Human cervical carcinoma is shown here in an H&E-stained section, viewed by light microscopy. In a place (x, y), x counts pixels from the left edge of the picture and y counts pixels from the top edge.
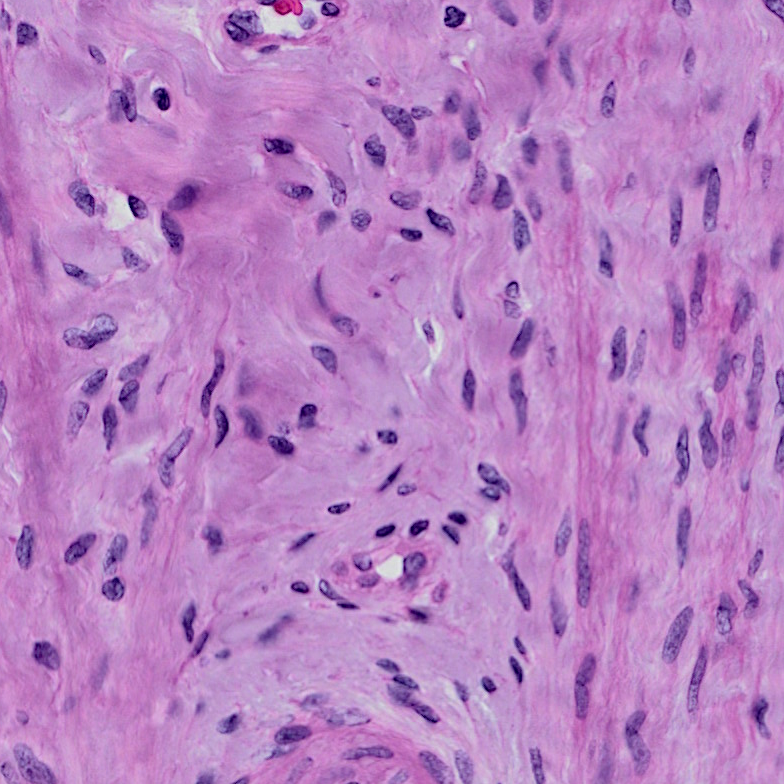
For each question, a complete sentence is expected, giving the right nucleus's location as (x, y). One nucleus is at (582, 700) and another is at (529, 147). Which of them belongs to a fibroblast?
Housed in a fibroblast is the nucleus at (529, 147), not the other one.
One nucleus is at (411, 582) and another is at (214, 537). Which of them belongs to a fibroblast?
The nucleus situated at (214, 537) is the one belonging to a fibroblast.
